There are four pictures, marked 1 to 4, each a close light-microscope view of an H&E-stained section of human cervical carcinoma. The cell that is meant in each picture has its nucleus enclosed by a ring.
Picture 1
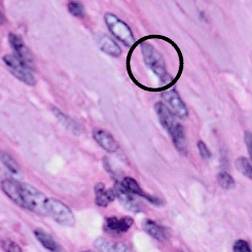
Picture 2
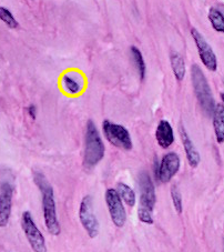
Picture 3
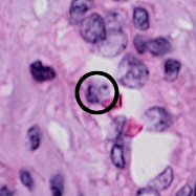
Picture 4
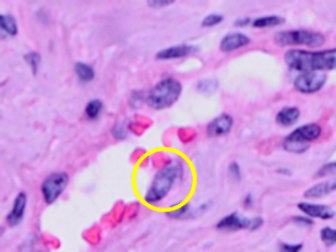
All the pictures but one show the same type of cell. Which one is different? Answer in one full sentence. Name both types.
The others show endothelial cells, but picture 2 shows a fibroblast.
